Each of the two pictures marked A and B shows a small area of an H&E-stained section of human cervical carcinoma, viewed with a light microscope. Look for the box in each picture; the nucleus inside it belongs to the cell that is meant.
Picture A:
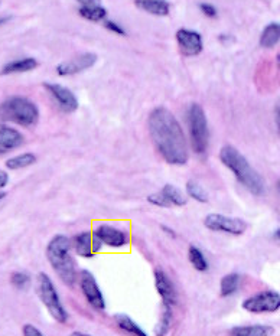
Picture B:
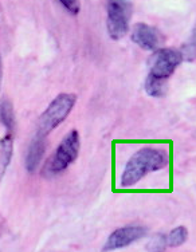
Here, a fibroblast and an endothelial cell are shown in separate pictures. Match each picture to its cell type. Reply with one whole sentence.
In picture A the cell is an endothelial cell; in picture B, a fibroblast.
